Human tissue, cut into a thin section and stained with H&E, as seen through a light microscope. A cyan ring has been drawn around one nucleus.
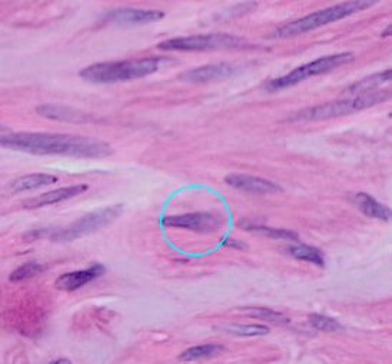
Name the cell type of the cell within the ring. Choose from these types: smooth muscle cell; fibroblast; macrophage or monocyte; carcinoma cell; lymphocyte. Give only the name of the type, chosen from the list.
smooth muscle cell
